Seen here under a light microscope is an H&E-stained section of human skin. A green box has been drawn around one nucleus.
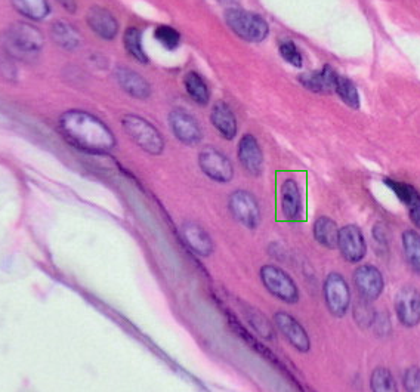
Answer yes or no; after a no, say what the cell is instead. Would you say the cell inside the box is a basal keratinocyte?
Yes.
